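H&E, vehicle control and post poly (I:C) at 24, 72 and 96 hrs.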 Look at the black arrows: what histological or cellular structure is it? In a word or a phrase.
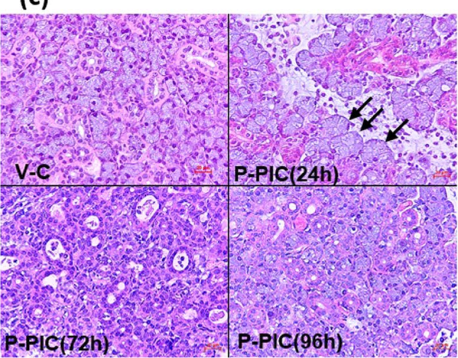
Acini.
